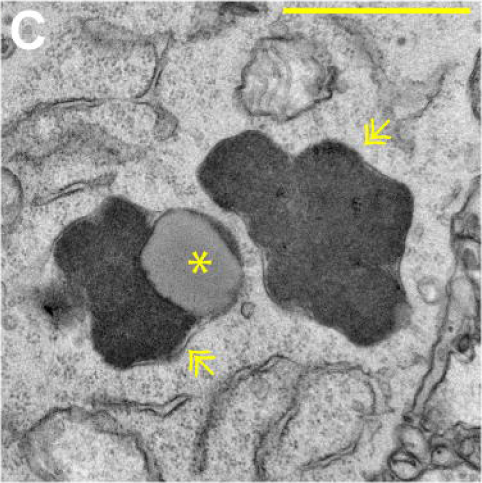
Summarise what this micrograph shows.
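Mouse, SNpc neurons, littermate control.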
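Two large, dark, lobulated bodies with finely granular dense content and bounding membranes dominate the field. Pressed against one of them is a smooth, round, evenly grey inclusion, paler than the dark bodies. Around them lies lighter granular cytoplasm, with membrane profiles and a mitochondrion with cristae at the upper edge.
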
